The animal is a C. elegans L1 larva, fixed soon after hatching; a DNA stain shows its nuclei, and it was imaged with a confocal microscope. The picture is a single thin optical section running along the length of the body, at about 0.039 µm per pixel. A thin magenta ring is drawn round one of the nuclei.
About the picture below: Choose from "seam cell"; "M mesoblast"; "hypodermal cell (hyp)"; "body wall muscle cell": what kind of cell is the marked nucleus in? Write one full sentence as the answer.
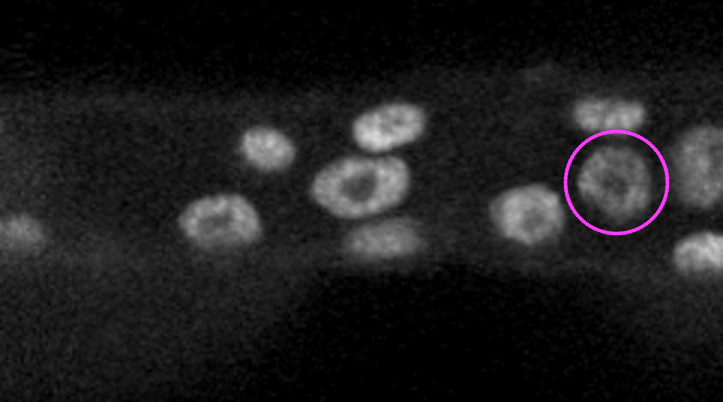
The cell with the marked nucleus is an M mesoblast.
